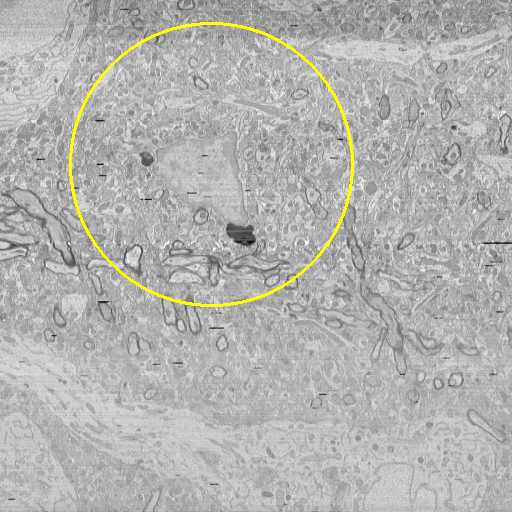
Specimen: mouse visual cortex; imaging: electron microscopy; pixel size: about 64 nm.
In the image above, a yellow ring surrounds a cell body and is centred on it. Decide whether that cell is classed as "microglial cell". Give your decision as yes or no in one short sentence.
Yes, it is classed as that kind.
